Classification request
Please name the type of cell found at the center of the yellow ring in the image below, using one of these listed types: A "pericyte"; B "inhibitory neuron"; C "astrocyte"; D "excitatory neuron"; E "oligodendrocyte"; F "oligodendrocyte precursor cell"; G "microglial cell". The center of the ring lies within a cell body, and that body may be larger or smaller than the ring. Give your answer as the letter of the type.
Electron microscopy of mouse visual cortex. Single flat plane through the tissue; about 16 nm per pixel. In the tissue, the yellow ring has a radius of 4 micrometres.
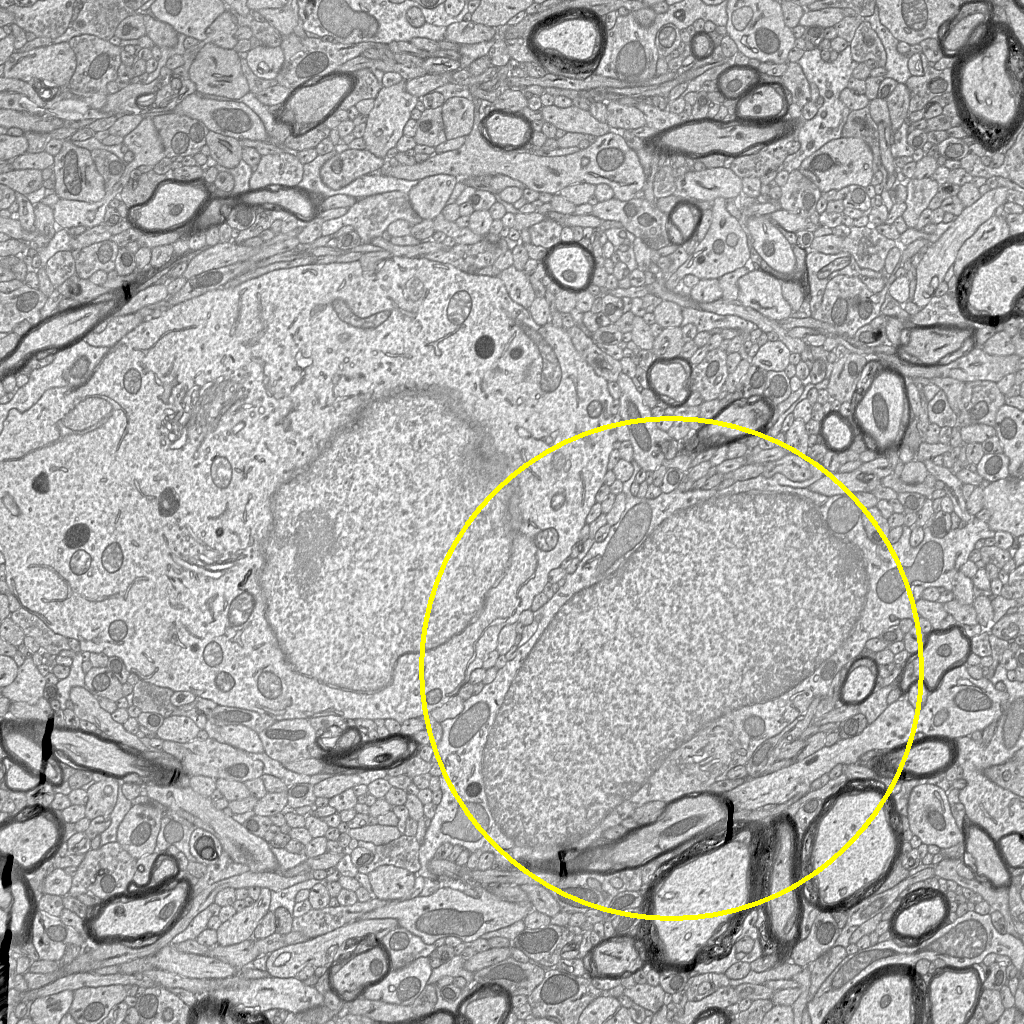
C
